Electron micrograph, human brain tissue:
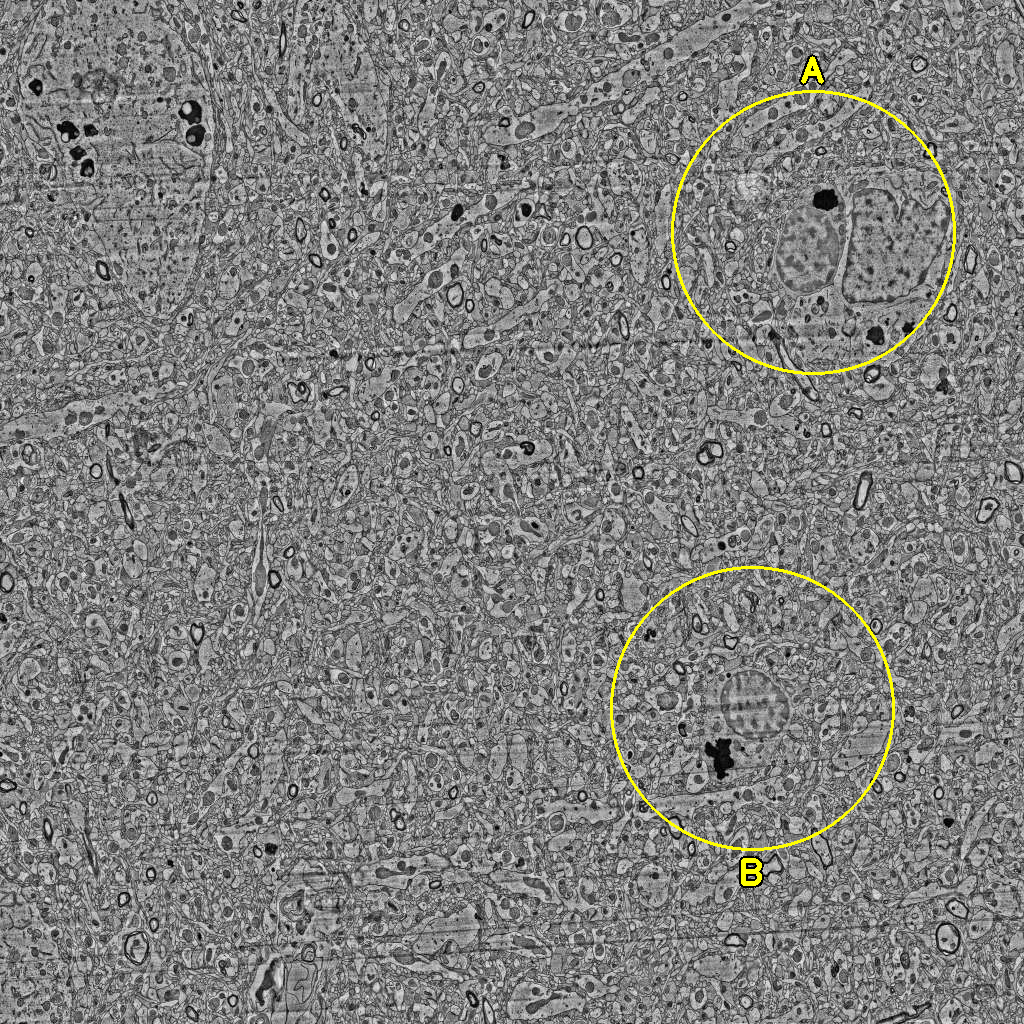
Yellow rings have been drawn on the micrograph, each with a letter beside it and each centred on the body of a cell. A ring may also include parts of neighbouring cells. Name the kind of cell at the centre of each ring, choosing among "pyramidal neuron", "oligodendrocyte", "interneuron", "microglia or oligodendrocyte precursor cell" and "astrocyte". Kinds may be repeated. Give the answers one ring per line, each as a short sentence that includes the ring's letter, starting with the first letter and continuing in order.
Ring A is placed on an oligodendrocyte.
Ring B is placed on an oligodendrocyte.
